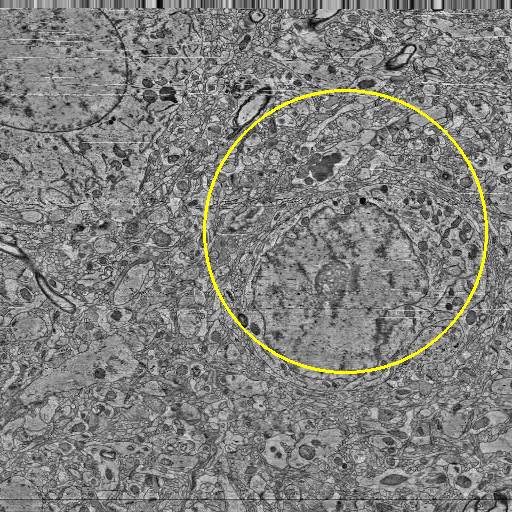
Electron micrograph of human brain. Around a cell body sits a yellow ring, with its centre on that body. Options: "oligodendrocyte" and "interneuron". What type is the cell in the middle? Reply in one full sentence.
The cell sitting at the centre of the yellow ring is an interneuron.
